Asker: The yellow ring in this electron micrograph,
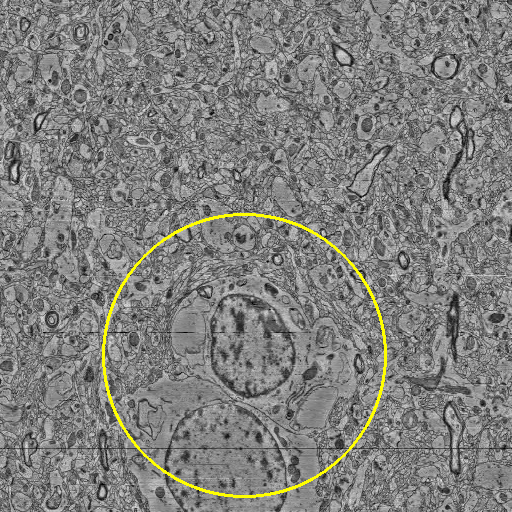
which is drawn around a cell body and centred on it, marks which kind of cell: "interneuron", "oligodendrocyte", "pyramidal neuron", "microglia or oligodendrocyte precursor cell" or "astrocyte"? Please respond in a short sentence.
The marked cell is an astrocyte.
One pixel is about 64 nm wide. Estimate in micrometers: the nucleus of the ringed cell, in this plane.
In this plane, the nucleus of the cell at the centre of the ring measures about 7 by 5 micrometres.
